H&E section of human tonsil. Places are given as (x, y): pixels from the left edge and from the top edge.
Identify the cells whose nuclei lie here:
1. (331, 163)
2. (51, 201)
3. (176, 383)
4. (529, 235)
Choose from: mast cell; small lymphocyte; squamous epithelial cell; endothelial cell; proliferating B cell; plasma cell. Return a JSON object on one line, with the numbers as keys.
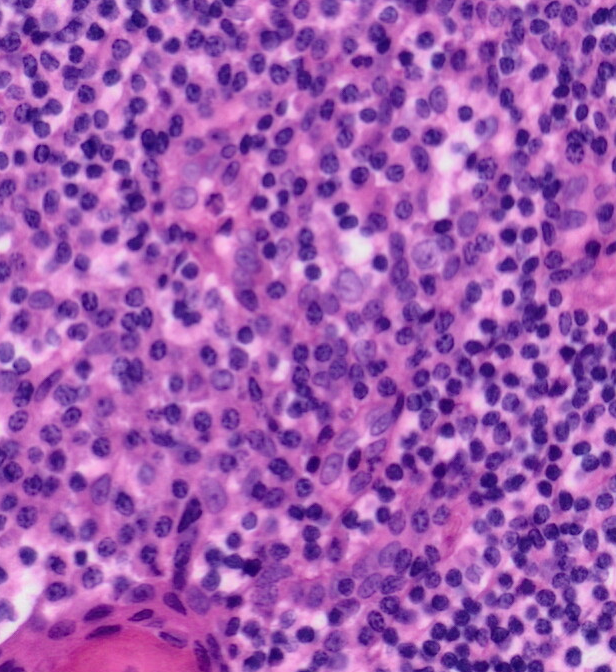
{"1": "plasma cell", "2": "plasma cell", "3": "plasma cell", "4": "small lymphocyte"}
